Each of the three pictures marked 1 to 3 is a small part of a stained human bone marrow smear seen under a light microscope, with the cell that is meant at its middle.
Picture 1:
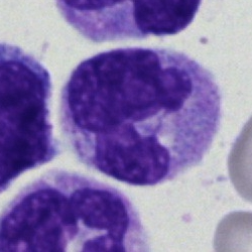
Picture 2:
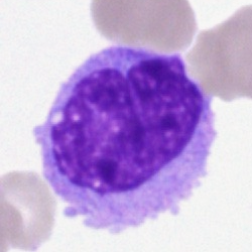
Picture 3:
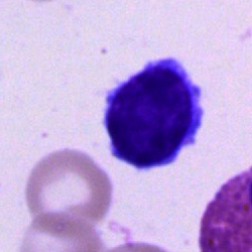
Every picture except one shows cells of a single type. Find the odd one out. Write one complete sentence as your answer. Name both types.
All pictures except 3 show monocytes; picture 3 shows a lymphocyte.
